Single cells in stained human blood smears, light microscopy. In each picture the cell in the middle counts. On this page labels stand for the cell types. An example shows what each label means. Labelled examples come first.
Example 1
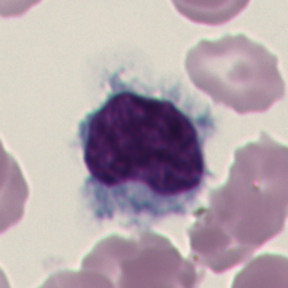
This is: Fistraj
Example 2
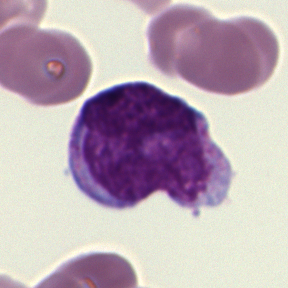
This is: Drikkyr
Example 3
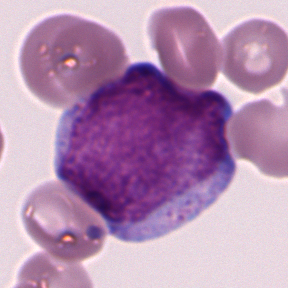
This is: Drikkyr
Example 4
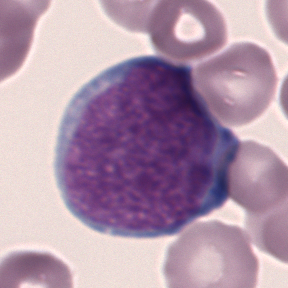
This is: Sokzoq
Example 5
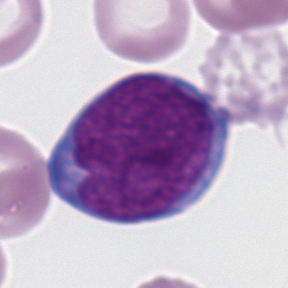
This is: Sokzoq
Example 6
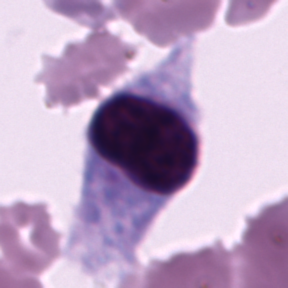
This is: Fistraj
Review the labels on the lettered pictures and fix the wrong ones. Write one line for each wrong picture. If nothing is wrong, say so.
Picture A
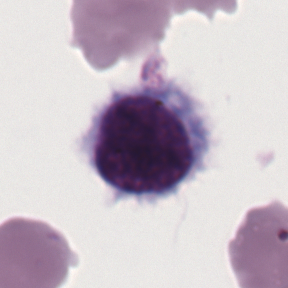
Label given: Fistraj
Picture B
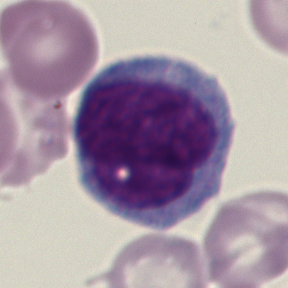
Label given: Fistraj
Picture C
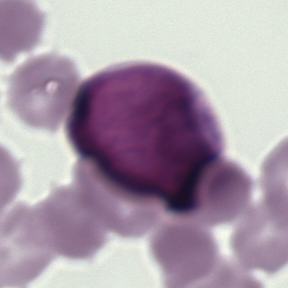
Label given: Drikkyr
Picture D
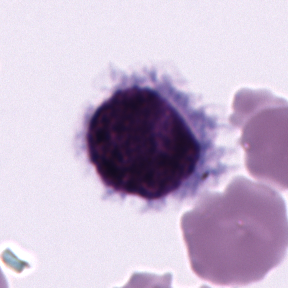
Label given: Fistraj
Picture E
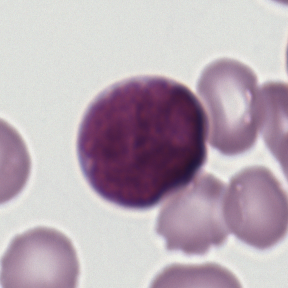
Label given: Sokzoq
B is labelled Fistraj; correct label: Sokzoq
C is labelled Drikkyr; correct label: Sokzoq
